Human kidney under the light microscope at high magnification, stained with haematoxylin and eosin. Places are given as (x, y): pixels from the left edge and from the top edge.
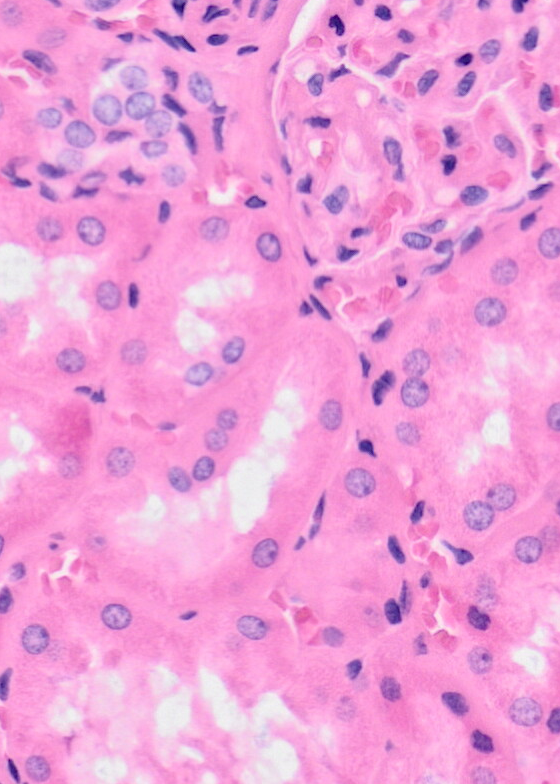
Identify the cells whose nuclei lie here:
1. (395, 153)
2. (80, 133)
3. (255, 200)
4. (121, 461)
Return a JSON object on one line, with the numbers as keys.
{"1": "endothelial cell", "2": "collecting duct cell", "3": "endothelial cell", "4": "proximal tubule cell"}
